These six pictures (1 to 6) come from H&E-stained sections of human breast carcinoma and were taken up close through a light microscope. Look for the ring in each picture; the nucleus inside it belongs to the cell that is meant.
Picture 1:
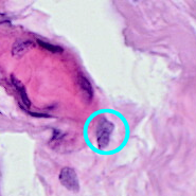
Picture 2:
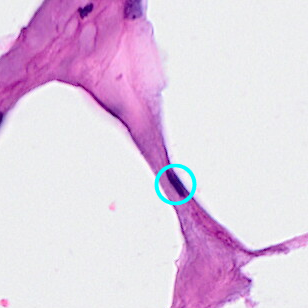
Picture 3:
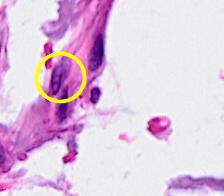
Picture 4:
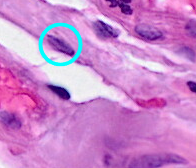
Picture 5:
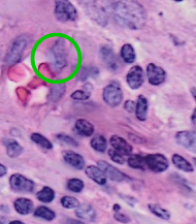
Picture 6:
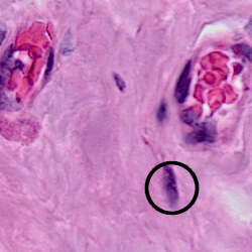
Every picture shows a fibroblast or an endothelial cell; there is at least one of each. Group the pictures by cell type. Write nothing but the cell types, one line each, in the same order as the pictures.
fibroblast
fibroblast
endothelial cell
fibroblast
endothelial cell
fibroblast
